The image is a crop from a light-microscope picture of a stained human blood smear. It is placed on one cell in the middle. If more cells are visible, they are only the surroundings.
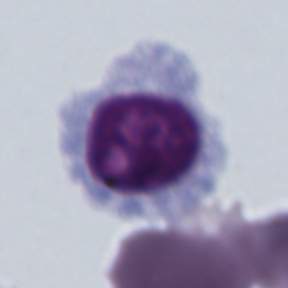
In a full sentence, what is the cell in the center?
As for the central cell, it is a hairy cell.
